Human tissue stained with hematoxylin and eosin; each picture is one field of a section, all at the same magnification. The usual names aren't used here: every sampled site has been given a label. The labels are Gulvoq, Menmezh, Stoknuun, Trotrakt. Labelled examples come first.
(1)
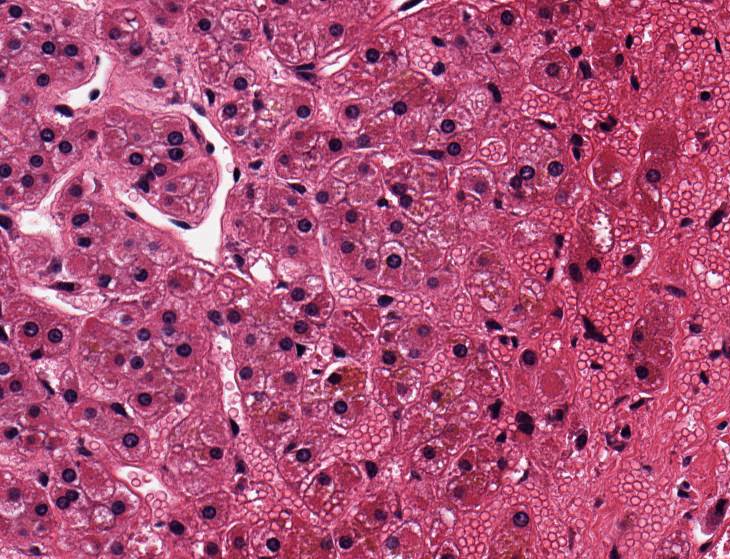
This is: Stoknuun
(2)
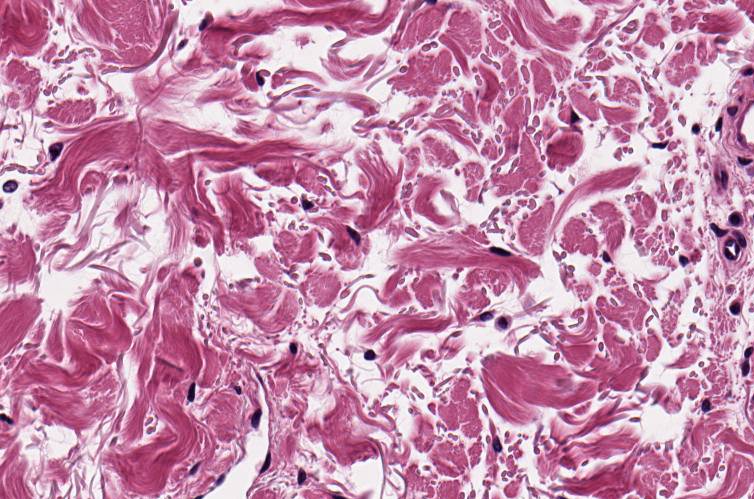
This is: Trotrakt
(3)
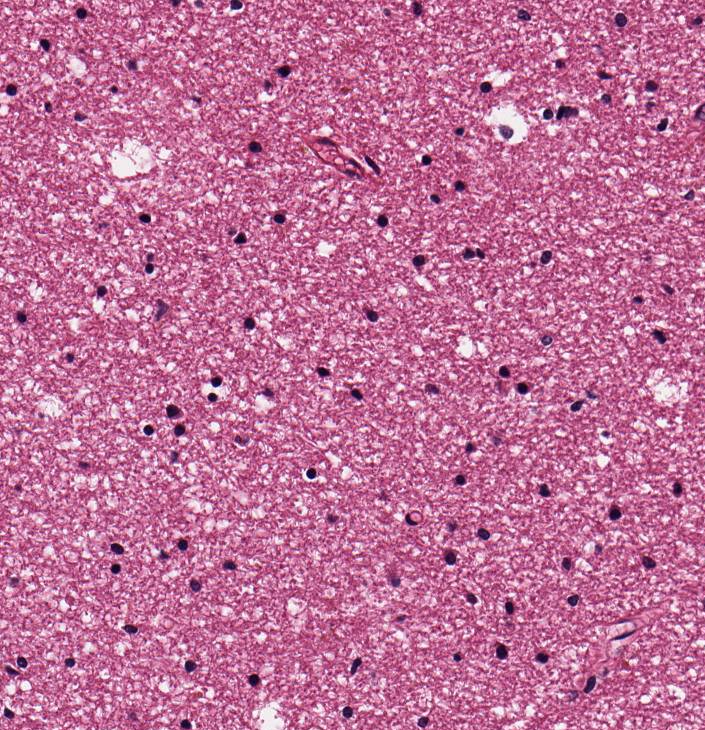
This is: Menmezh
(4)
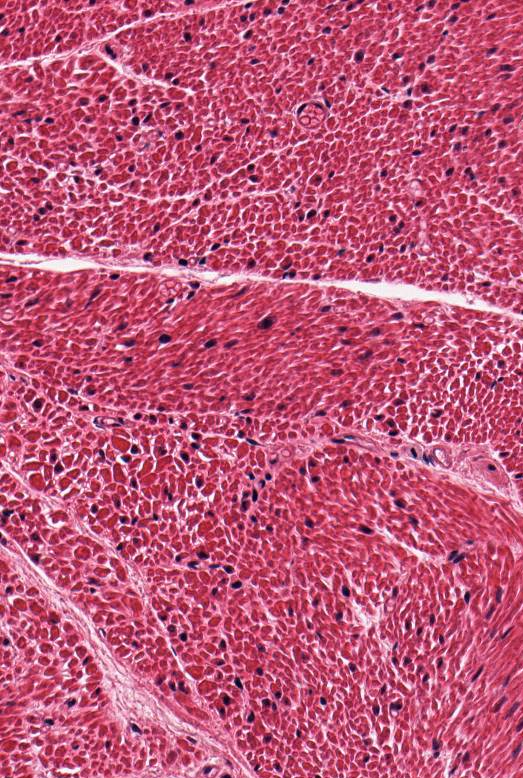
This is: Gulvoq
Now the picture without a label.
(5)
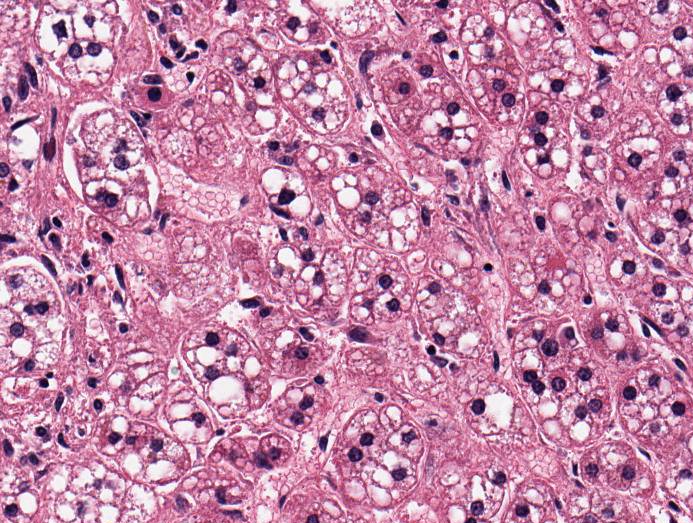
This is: Stoknuun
